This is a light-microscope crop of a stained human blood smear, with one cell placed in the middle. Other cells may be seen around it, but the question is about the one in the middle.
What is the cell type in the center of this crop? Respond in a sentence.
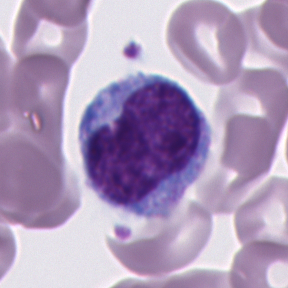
The cell under consideration, at the middle of the crop, is a monocyte.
